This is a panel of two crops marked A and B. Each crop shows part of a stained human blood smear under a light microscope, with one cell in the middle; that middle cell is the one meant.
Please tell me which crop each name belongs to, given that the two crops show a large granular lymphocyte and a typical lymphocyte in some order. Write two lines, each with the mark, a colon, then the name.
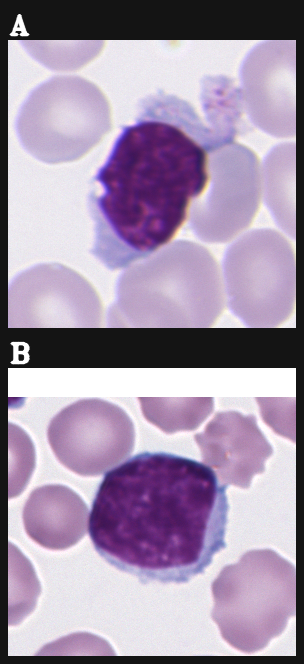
A: large granular lymphocyte
B: typical lymphocyte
